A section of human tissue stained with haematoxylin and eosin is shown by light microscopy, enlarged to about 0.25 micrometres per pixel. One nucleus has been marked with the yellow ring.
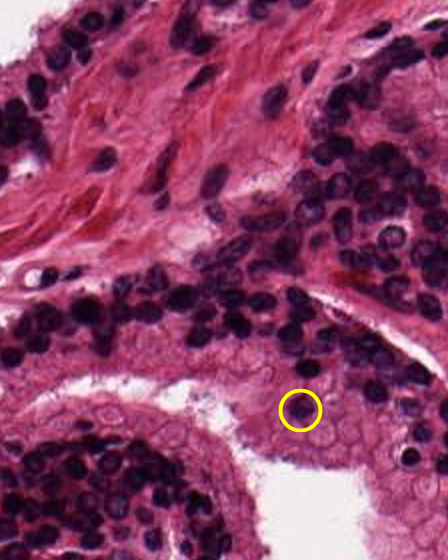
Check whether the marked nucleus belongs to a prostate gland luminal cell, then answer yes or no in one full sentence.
Yes, in the picture the marked nucleus belongs to a prostate gland luminal cell.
